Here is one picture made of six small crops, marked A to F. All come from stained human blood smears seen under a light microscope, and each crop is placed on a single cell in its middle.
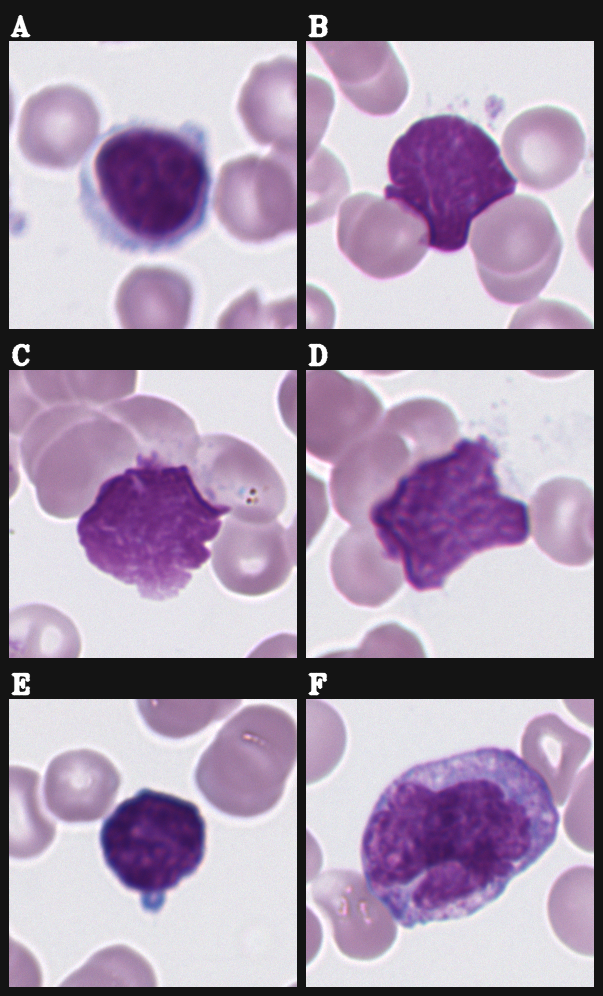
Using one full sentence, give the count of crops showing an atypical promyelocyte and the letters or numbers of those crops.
Only one crop shows an atypical promyelocyte, and that is crop F.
